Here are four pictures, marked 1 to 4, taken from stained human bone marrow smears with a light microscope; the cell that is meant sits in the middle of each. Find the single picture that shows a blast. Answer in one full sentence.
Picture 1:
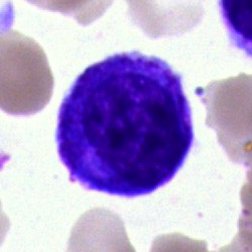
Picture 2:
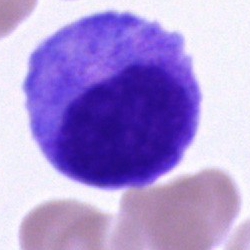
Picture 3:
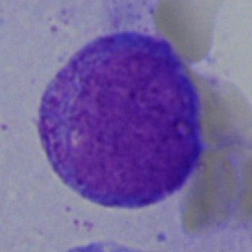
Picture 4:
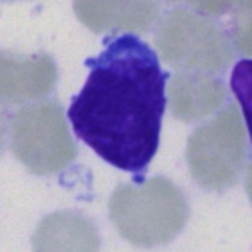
It is picture 4 that shows the blast.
